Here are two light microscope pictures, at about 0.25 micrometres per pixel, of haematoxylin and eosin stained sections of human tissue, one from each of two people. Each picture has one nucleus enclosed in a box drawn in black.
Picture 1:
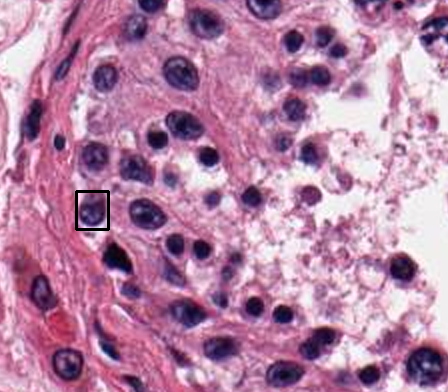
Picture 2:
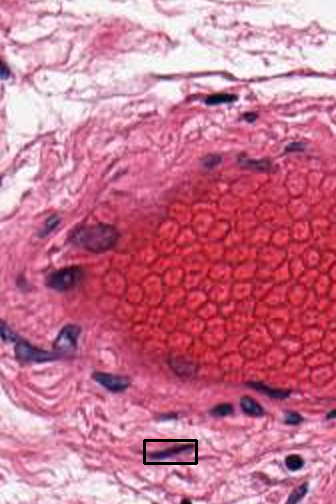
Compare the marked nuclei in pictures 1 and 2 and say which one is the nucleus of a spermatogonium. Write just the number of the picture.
1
